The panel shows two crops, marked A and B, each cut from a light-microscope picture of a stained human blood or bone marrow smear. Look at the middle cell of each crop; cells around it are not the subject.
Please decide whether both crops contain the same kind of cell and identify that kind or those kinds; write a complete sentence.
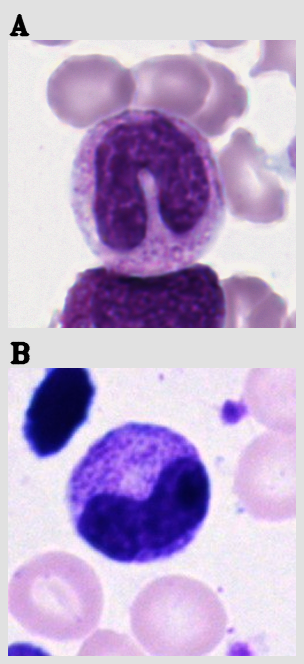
Yes, the cells that the two crops centre on are band neutrophils.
